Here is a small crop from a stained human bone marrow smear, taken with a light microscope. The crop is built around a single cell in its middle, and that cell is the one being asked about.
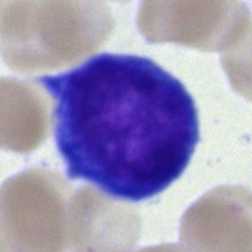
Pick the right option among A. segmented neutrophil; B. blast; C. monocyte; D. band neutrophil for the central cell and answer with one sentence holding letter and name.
This one is option B, since the cell at the center is a blast.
